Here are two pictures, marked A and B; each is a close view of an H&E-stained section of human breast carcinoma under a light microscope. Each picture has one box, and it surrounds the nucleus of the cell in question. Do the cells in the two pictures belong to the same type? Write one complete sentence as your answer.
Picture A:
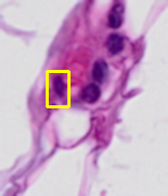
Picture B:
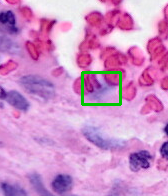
Yes; the cells in both pictures are endothelial cells.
